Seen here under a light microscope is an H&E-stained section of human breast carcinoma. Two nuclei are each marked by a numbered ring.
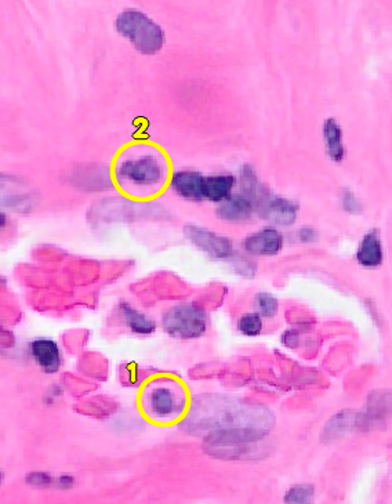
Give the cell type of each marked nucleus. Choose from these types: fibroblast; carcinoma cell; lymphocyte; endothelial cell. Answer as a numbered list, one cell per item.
1. endothelial cell
2. lymphocyte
